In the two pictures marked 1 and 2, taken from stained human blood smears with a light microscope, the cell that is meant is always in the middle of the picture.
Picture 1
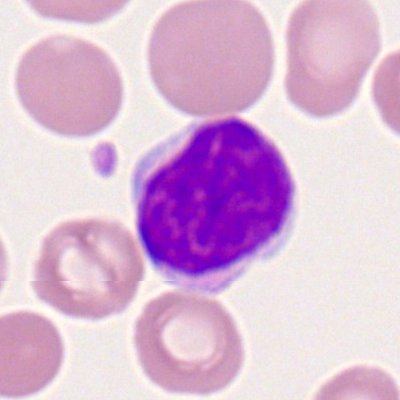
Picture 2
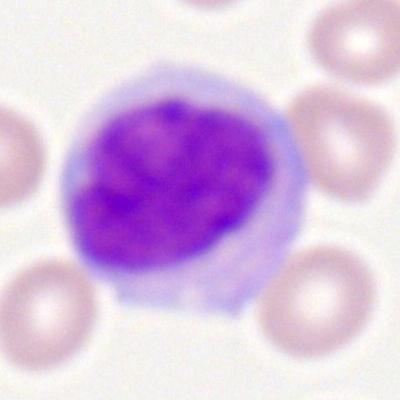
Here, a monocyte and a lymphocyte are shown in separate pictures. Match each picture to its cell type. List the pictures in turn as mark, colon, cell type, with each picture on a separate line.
1: lymphocyte
2: monocyte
